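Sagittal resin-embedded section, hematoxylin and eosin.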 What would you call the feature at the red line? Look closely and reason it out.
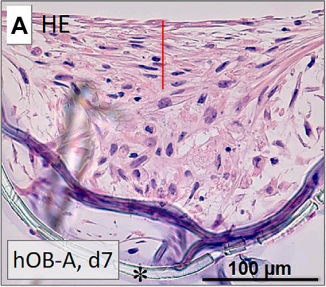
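The red line spans a band of elongated cells at the top of the cavity. Nuclei in that band are flattened and lie parallel to the upper surface. So: horizontally oriented cell layer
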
